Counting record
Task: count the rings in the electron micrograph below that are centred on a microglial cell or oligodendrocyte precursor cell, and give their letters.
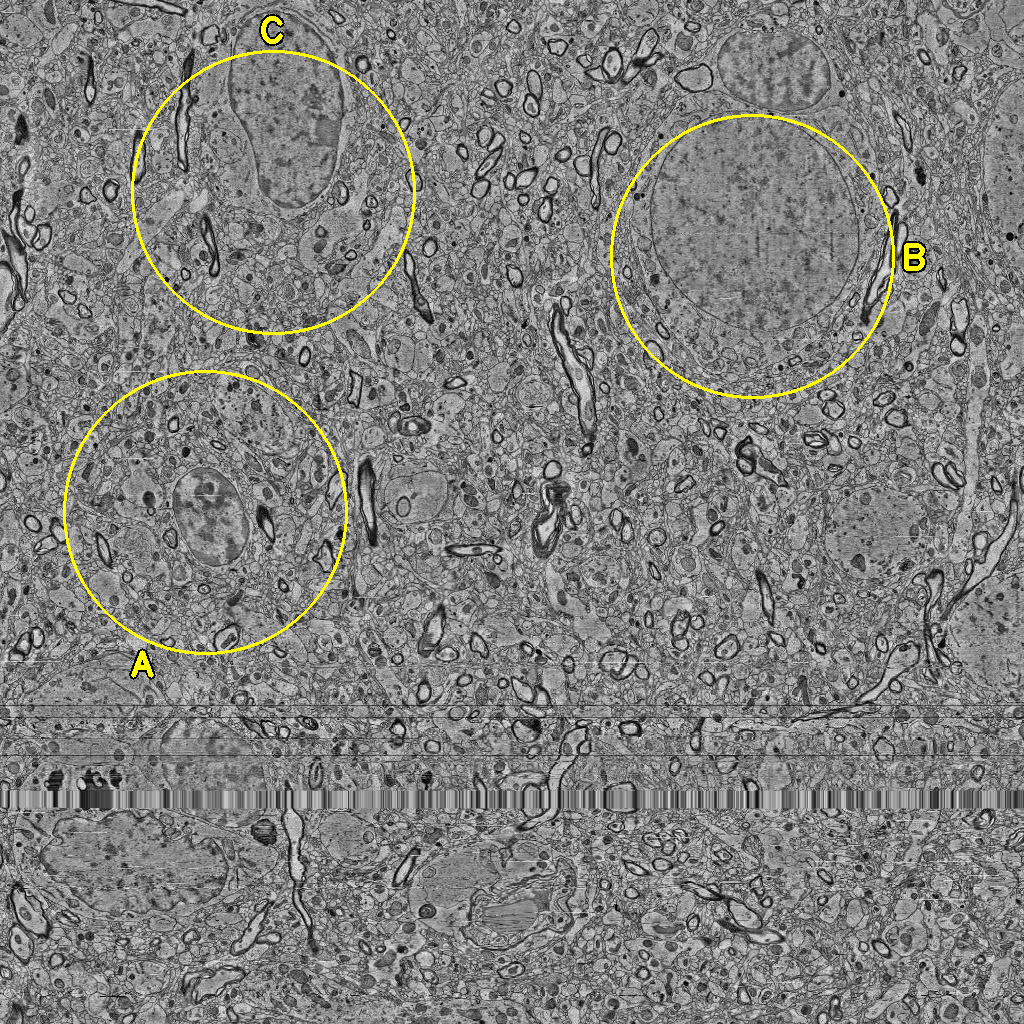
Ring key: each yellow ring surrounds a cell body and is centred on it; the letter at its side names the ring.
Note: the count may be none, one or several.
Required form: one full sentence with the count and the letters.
The rings carrying the letters A and C are two in total, each with a microglial cell or oligodendrocyte precursor cell at its centre.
